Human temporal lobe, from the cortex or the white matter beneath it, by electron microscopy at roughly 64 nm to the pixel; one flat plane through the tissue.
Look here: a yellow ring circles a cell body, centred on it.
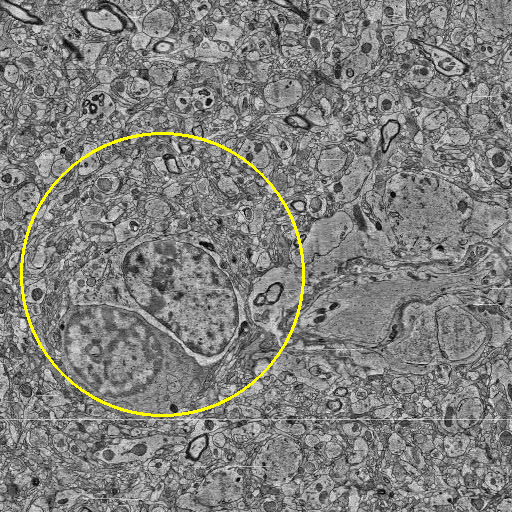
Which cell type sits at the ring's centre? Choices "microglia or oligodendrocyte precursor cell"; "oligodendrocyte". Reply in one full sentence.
The cell at the centre of the yellow ring in the picture is a microglial cell or oligodendrocyte precursor cell.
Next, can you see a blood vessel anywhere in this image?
Yes, one appears.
